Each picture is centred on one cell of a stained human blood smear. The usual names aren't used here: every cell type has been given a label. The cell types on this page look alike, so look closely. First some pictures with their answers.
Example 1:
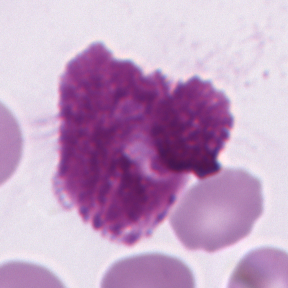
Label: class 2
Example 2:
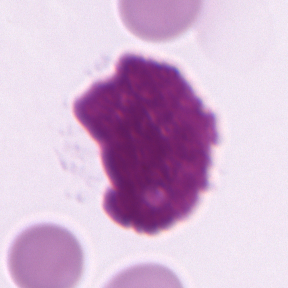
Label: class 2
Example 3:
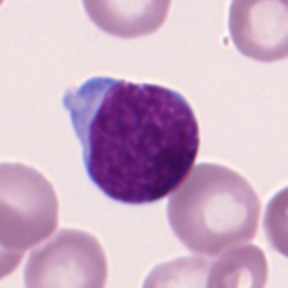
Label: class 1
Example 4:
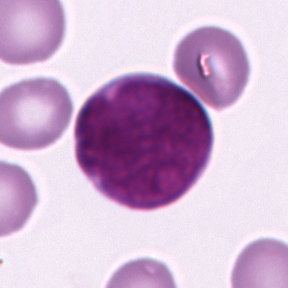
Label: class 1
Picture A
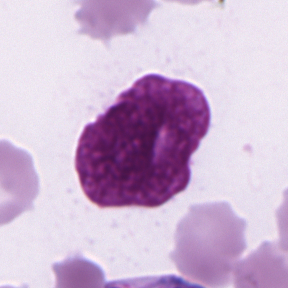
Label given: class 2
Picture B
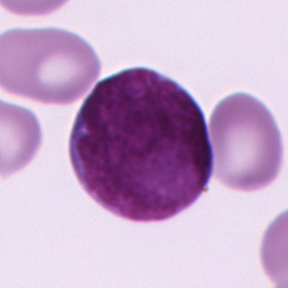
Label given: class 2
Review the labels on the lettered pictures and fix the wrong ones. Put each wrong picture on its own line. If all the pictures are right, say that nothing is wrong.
B: not class 2 but class 1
